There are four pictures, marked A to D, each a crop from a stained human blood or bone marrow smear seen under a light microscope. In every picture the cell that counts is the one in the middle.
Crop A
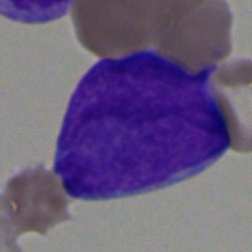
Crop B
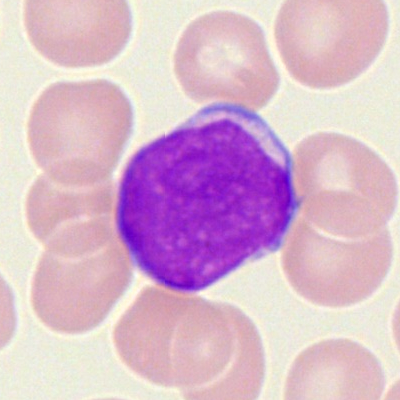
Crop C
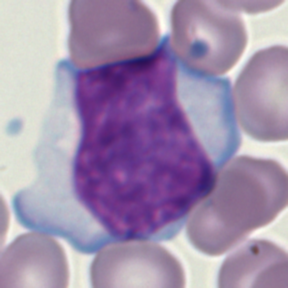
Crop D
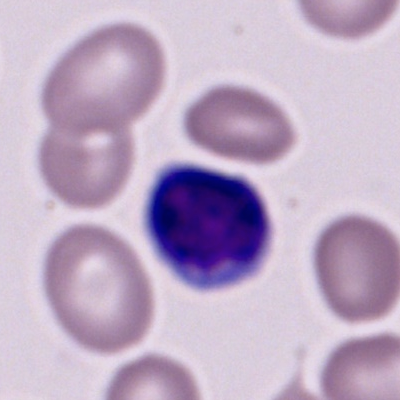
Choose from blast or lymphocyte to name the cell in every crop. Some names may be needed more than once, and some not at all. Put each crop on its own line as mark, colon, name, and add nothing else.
A: blast
B: blast
C: blast
D: lymphocyte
